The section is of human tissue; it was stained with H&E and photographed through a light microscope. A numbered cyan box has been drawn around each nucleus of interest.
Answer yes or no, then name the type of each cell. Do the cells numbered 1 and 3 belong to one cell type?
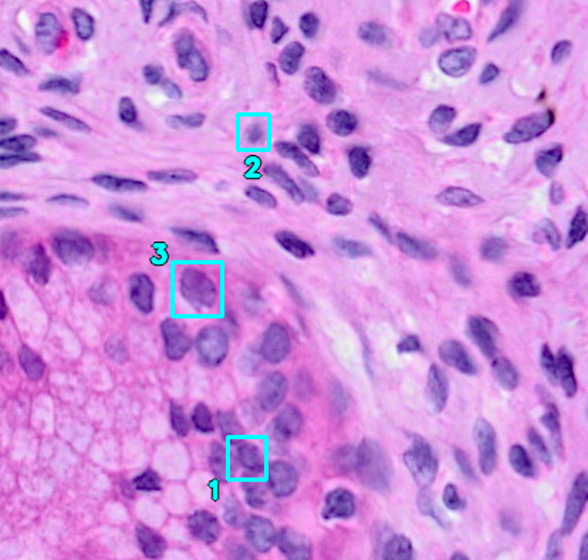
Yes, both cell 1 and cell 3 are secretory epithelial cells.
